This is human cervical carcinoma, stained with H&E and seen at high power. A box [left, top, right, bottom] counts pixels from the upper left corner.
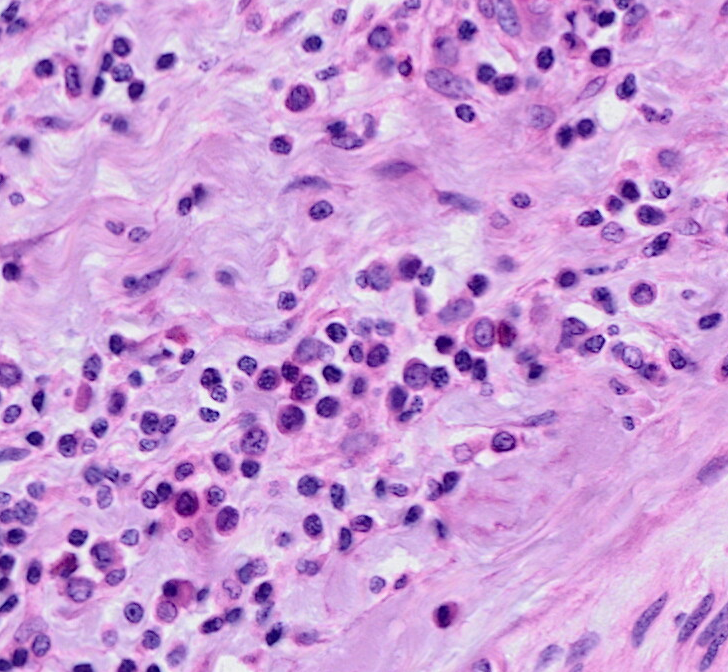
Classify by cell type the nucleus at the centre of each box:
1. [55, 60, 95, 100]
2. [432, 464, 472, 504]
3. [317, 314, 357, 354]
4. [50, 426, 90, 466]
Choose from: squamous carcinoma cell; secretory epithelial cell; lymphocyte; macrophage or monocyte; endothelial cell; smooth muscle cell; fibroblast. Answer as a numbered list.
1. macrophage or monocyte
2. lymphocyte
3. lymphocyte
4. lymphocyte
